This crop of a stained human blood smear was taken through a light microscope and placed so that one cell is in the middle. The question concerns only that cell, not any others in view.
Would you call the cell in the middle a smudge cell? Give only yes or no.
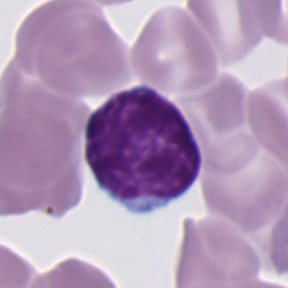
no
